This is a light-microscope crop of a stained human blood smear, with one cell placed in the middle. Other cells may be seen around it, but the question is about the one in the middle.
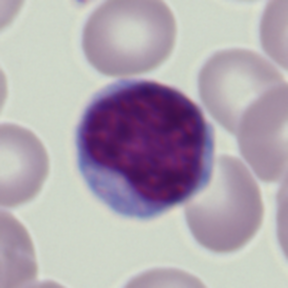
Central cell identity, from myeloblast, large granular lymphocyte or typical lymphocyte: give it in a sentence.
Located at the centre of the crop is a typical lymphocyte.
